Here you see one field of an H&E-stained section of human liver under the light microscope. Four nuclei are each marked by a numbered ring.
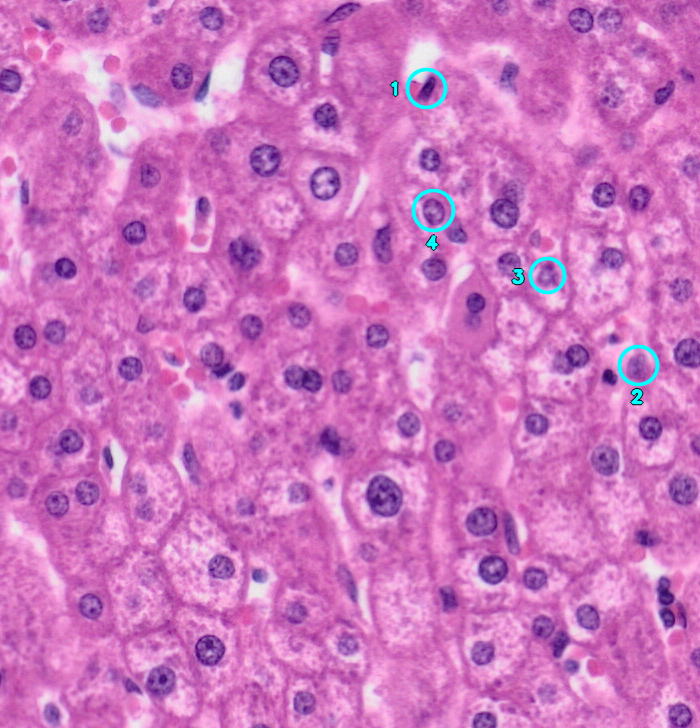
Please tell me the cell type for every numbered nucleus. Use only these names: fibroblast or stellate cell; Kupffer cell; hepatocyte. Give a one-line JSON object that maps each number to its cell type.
{"1": "fibroblast or stellate cell", "2": "Kupffer cell", "3": "hepatocyte", "4": "hepatocyte"}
